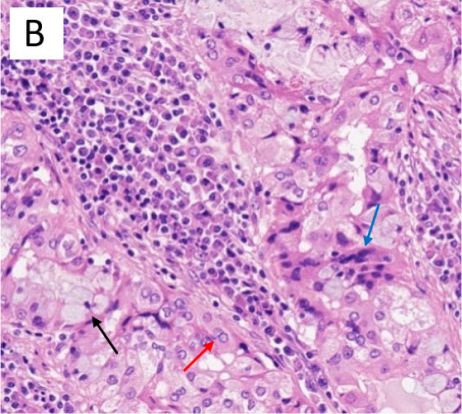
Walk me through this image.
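Tumor made of a mix of cell kinds: squamous cells, polygonal with pink cytoplasm and round nuclei; mucocytes with abundant pale, foamy to clear cytoplasm; and smaller intermediate cells with darker nuclei and scant cytoplasm. A dense band of small round cells with dark nuclei runs diagonally across the field between the nests of tumor cells.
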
